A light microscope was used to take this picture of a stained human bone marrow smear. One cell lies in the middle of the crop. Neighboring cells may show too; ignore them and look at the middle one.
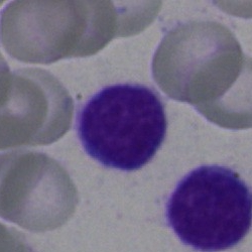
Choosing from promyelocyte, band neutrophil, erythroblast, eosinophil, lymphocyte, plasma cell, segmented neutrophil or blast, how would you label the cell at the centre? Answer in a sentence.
The cell centred in this crop is categorized as a lymphocyte.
